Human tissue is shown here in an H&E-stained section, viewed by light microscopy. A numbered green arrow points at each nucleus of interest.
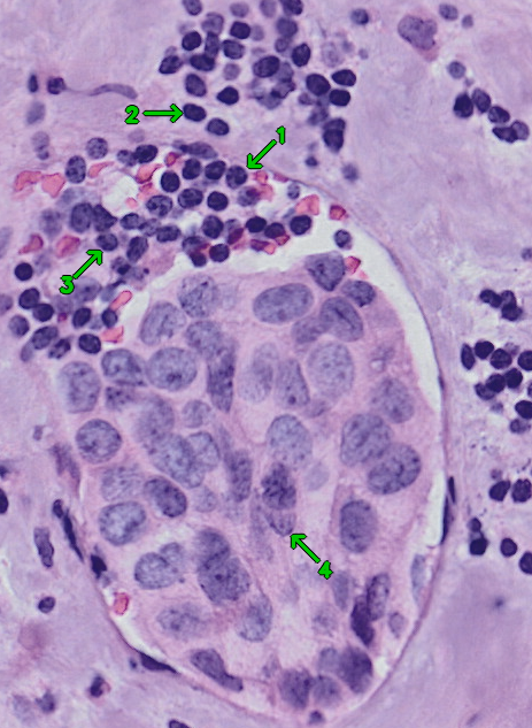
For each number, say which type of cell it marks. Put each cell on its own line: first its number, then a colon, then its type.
1: lymphocyte
2: lymphocyte
3: lymphocyte
4: carcinoma cell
